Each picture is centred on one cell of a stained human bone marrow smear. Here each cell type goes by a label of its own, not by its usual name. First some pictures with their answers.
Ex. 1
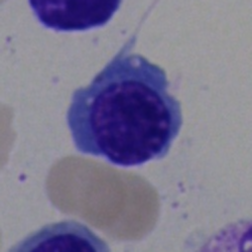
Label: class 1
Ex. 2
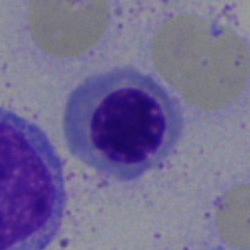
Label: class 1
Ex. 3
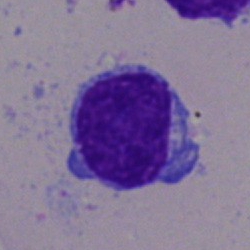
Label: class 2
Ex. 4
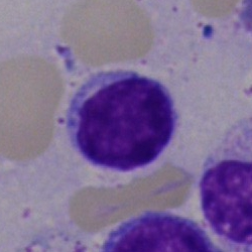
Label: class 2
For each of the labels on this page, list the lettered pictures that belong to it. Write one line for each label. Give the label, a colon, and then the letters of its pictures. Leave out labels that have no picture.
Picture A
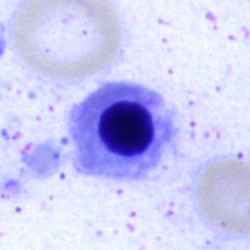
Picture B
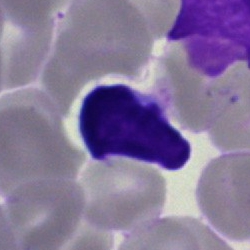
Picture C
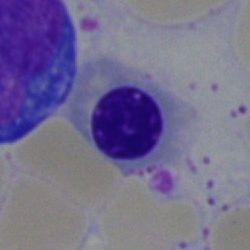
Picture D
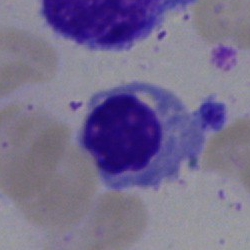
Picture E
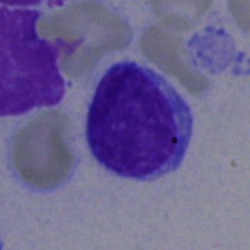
class 1: A, C, D
class 2: B, E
